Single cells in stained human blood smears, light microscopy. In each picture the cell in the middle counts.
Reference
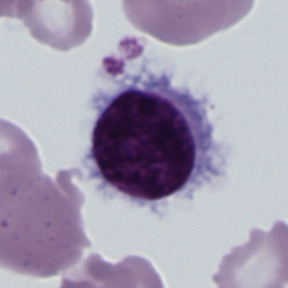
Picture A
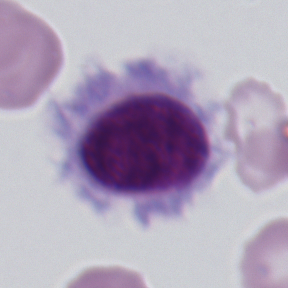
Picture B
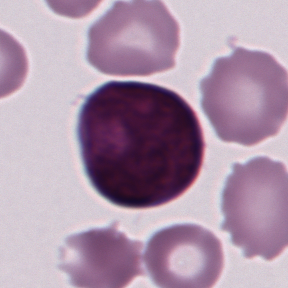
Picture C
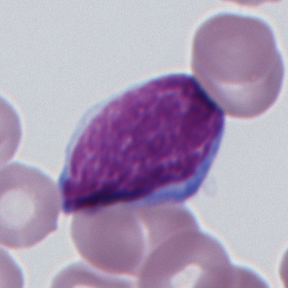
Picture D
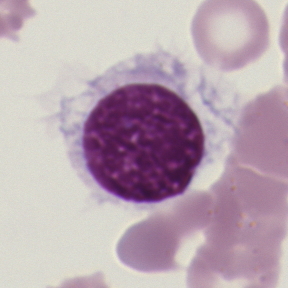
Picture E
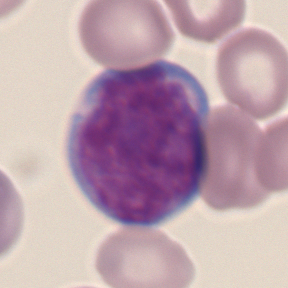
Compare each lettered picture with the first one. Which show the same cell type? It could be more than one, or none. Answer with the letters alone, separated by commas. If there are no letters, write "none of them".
A, D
